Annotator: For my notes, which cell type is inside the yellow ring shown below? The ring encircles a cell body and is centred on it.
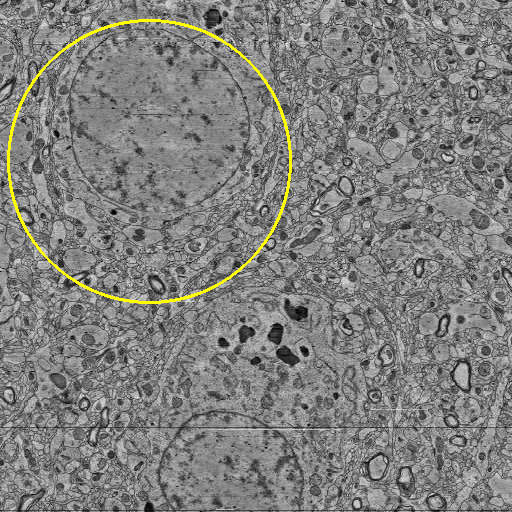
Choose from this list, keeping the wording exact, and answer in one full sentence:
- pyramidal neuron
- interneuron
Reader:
At the centre of the yellow ring there is a pyramidal neuron, as shown in the picture.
